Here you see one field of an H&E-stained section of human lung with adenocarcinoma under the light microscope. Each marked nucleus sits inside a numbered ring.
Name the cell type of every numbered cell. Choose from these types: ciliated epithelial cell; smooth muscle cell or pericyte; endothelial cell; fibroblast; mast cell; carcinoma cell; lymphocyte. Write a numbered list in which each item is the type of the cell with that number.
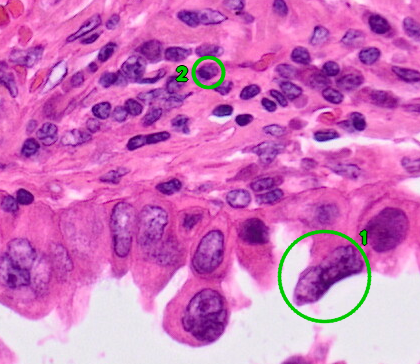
1. carcinoma cell
2. lymphocyte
